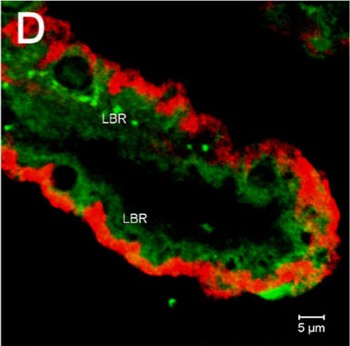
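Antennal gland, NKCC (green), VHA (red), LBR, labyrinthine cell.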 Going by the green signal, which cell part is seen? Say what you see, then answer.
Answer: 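Basolateral membrane. Green fills the broad body of the cell layer away from the red-lined edge. The green is granular and spread through the thickness of the layer rather than confined to one surface line.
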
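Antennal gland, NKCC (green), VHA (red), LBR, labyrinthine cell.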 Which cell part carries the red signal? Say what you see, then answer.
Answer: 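Apical membrane. The red band lies at the surface opposite to the broad green-filled cytoplasm.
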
